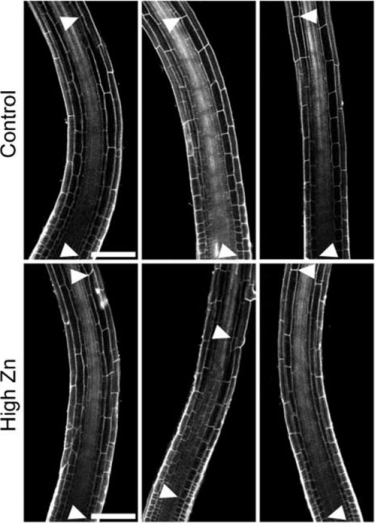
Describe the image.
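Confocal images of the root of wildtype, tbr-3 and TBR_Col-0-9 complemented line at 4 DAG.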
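Six curved root segments are set side by side in two rows, each showing cells outlined by thin bright white walls on a dark background. The cells lie in parallel files running along the length of the root, with the outer layers forming regular rows of rectangular cells, most of them longer than they are wide. A white arrowhead near the top and another near the bottom of each segment mark two borders along the root axis. The stretch between them is the root elongation zone, lying between the meristem zone and the maturation zone.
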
